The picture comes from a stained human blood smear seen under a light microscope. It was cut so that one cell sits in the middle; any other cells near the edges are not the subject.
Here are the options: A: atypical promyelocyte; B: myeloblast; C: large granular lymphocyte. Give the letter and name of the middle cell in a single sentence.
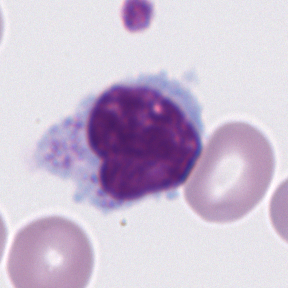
The cell at the heart of the crop is a large granular lymphocyte, so choose option C.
